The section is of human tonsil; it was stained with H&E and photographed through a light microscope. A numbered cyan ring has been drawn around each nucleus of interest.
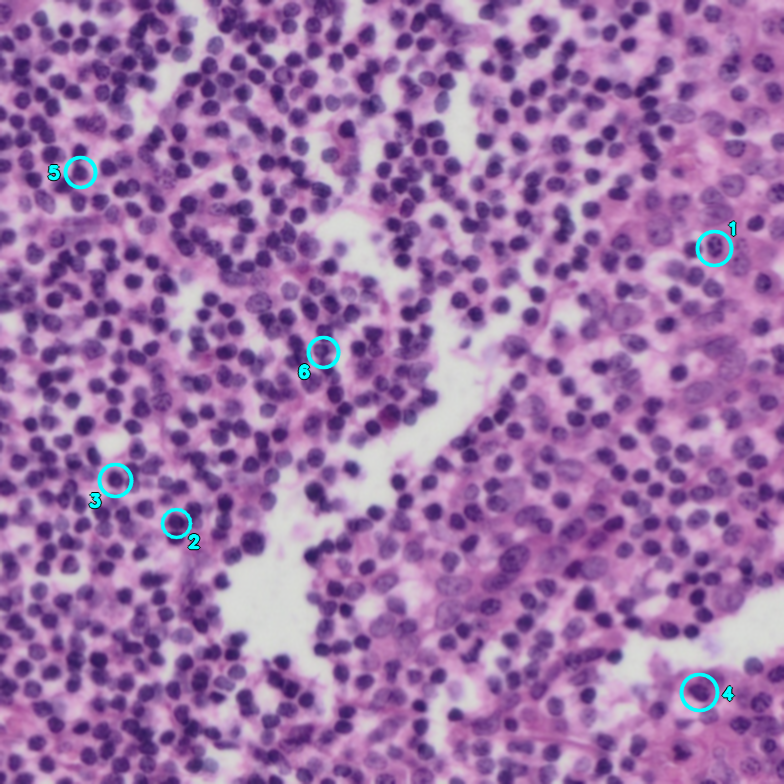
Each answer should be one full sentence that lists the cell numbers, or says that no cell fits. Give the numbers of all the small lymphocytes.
Cells 2, 3, 5 and 6 are small lymphocytes by cell type.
